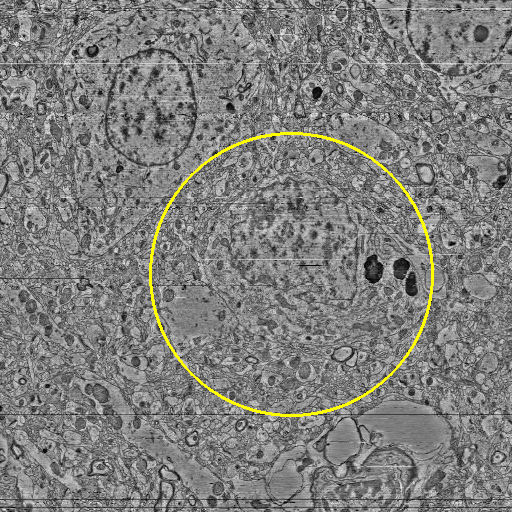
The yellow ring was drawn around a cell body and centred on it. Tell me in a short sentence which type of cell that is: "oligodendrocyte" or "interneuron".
The cell at the ring's centre is an interneuron.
